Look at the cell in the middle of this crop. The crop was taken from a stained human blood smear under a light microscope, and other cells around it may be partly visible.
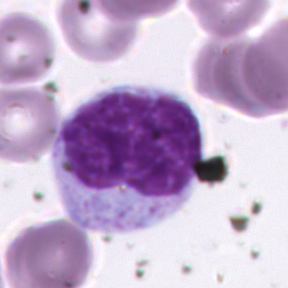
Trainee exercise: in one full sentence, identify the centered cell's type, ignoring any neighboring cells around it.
In this smear crop, the middle cell is a metamyelocyte.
